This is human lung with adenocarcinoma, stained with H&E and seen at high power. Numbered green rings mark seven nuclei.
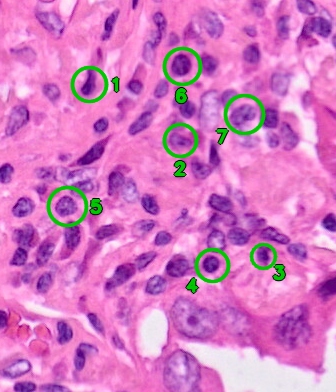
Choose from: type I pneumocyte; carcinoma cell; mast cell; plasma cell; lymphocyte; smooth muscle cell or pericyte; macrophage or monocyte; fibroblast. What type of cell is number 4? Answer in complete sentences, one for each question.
The nucleus marked 4 is the nucleus of a lymphocyte.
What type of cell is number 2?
In this section, number 2 marks a plasma cell.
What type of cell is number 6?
Among the marked cells, number 6 is a plasma cell.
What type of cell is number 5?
Regarding cell 5, this one is a lymphocyte.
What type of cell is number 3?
The cell referred to as 3 is a lymphocyte.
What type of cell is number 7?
The cell given label 7 is a lymphocyte.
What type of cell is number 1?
The correct answer for cell 1 is a plasma cell.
